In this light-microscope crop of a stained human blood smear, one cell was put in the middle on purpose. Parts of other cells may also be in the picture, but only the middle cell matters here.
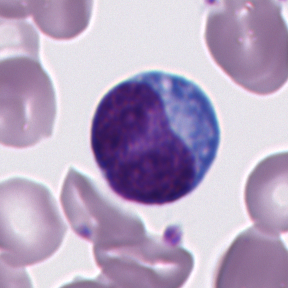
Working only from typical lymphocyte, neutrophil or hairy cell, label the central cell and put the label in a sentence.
In short, the cell at the center is a typical lymphocyte.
